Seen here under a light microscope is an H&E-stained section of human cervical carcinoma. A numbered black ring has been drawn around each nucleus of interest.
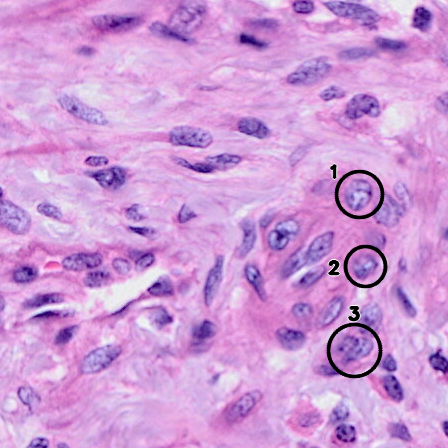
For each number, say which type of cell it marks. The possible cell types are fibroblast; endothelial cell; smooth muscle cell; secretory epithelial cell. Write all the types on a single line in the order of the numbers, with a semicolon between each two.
smooth muscle cell; smooth muscle cell; endothelial cell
